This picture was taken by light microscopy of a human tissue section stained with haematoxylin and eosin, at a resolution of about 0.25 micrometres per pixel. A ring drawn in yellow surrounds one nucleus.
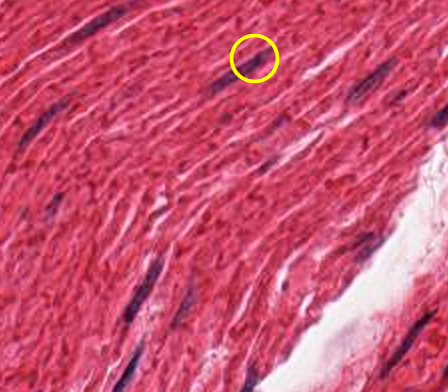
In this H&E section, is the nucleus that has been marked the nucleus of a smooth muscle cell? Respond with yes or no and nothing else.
yes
